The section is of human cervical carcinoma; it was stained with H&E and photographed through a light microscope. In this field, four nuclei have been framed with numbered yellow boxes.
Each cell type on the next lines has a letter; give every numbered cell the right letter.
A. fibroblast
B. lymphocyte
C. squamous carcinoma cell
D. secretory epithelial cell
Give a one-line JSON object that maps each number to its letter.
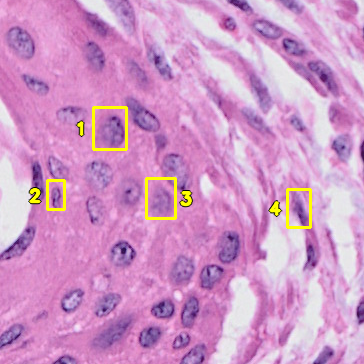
{"1": "C", "2": "C", "3": "C", "4": "A"}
